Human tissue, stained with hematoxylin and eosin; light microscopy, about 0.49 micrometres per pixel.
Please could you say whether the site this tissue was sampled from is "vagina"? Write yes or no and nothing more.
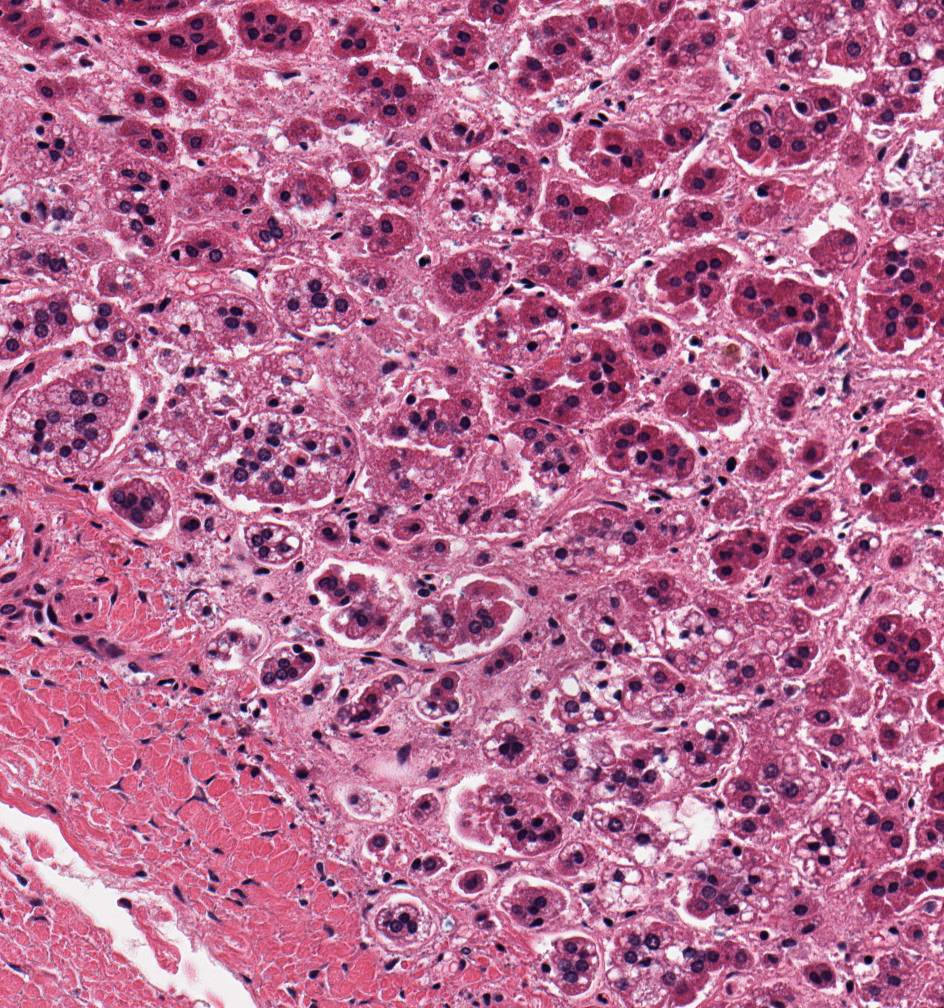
no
